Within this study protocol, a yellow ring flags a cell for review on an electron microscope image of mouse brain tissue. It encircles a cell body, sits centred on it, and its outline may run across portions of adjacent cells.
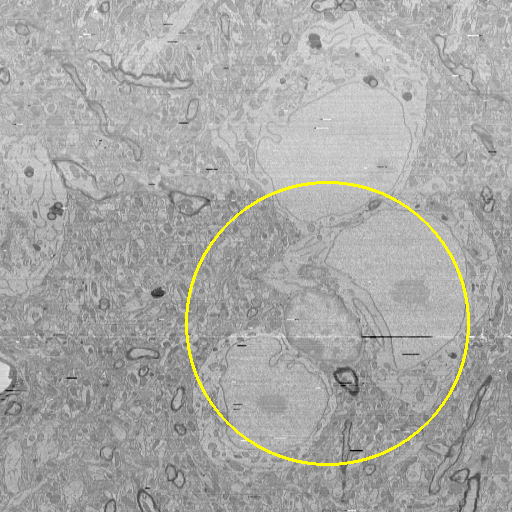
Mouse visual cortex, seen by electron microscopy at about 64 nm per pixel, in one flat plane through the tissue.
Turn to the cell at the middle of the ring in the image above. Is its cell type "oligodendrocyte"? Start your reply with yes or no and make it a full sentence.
Yes, the cell at the ring's centre in the image above has that cell type.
